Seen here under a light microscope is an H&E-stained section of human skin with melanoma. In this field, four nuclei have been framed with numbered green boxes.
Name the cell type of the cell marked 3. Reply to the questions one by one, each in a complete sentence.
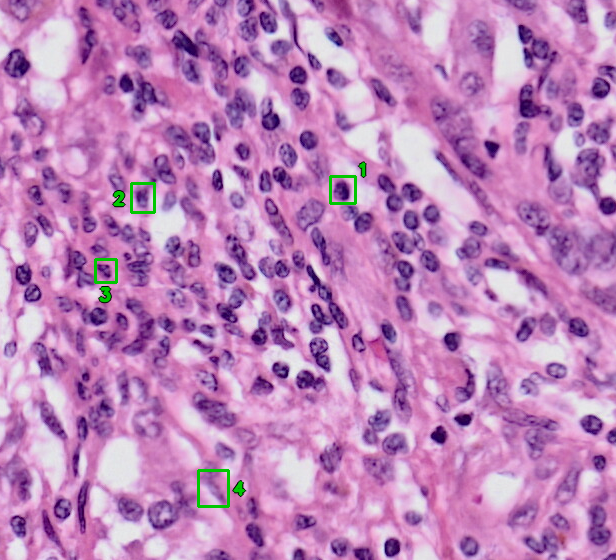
The cell that goes by number 3 is a lymphocyte.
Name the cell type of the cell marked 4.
The numbered cell 4 is identified here as a fibroblast or myofibroblast.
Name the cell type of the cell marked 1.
The correct label for cell 1 is a lymphocyte.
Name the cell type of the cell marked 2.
The correct answer for cell 2 is a lymphocyte.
